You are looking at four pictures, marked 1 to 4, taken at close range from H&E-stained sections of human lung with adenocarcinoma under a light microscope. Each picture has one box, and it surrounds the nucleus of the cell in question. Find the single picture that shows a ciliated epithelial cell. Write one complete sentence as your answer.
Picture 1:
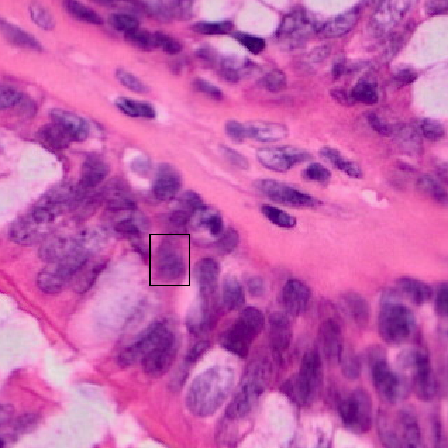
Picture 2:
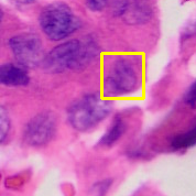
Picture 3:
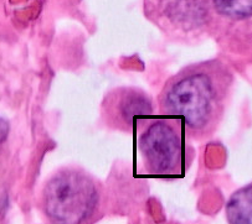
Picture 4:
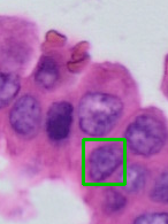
It is picture 1 that shows the ciliated epithelial cell.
